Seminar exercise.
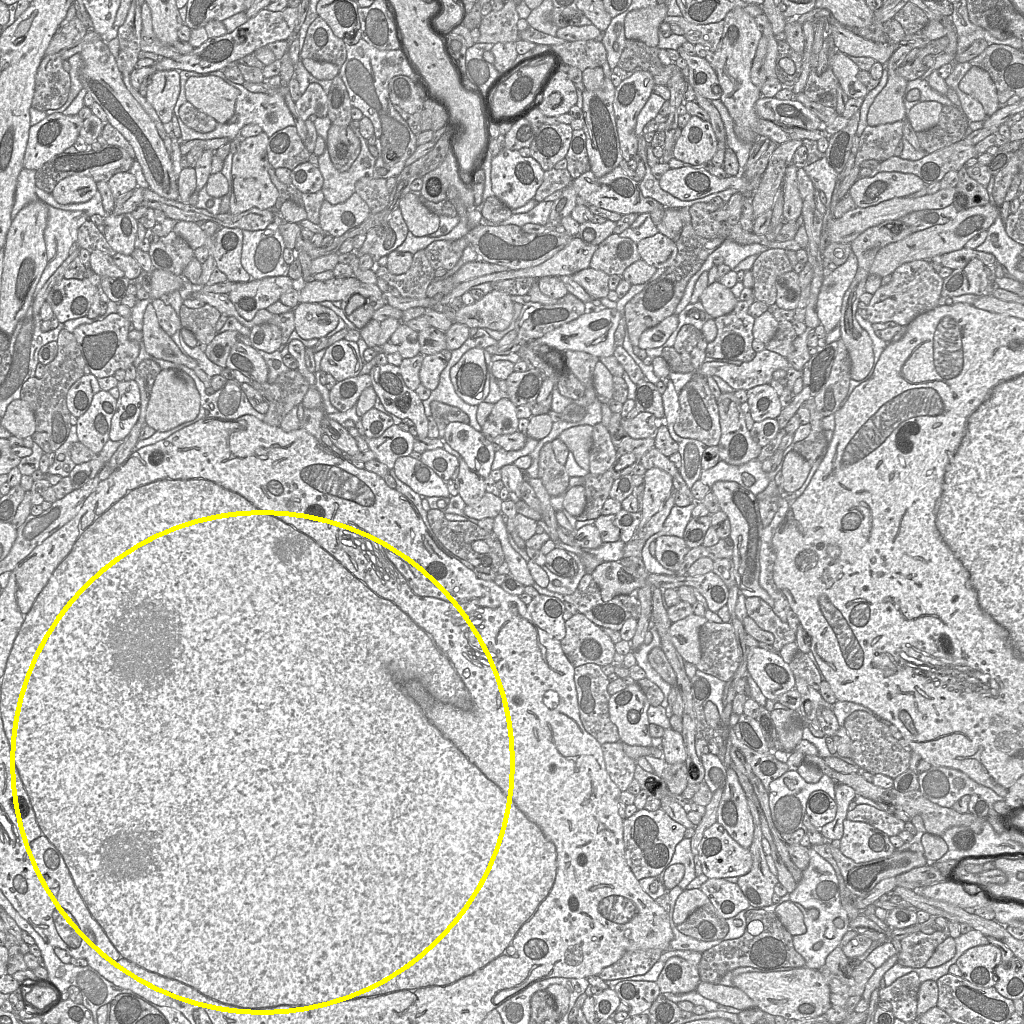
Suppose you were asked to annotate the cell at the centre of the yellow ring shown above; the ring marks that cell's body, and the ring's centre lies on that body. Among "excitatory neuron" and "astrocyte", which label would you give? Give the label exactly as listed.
excitatory neuron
